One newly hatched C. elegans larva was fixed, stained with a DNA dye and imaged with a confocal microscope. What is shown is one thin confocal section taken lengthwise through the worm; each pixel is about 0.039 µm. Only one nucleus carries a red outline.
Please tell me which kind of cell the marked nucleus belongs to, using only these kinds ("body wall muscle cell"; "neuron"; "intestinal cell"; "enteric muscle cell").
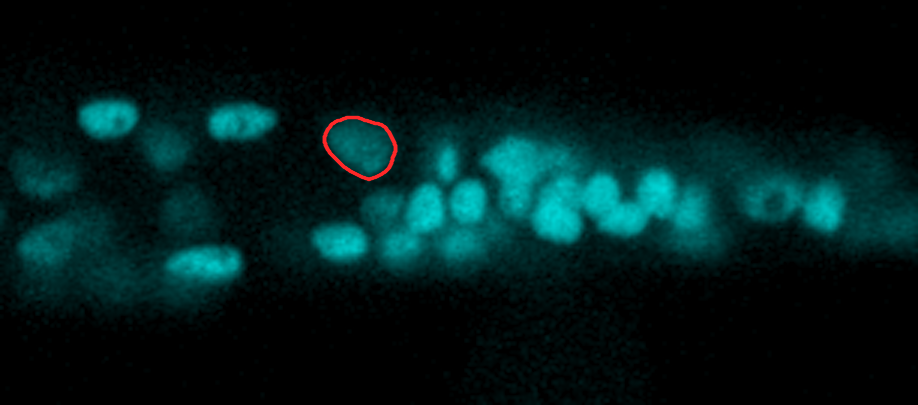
intestinal cell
